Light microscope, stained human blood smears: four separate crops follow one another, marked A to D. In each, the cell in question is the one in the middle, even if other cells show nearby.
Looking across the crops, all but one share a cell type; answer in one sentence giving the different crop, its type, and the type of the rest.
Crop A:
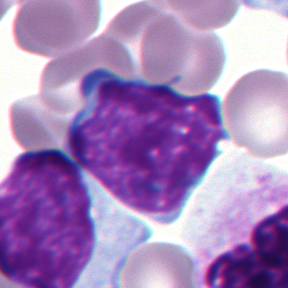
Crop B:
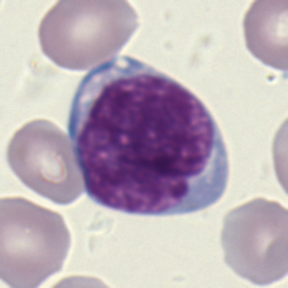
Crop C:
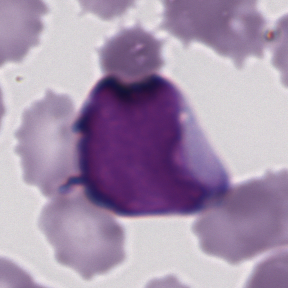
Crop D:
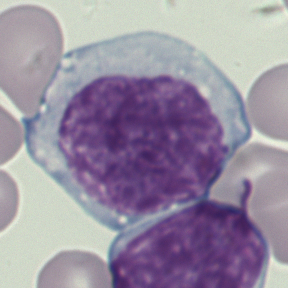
The one crop not showing myeloblasts is crop A, which shows a typical lymphocyte.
